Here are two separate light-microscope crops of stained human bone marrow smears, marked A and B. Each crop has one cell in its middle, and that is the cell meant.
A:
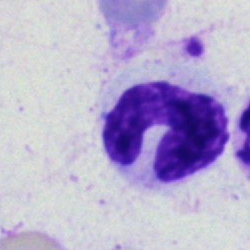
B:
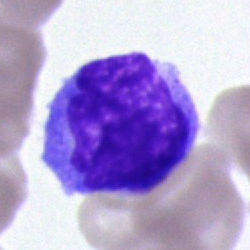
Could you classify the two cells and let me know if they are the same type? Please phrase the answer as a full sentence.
No, at the centre of crop A is a band neutrophil, and at the centre of crop B is a monocyte.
